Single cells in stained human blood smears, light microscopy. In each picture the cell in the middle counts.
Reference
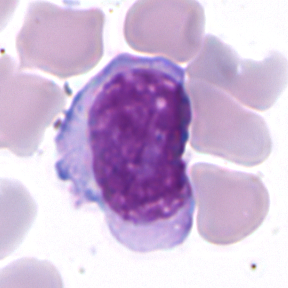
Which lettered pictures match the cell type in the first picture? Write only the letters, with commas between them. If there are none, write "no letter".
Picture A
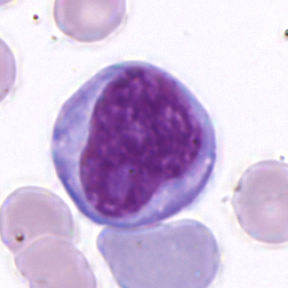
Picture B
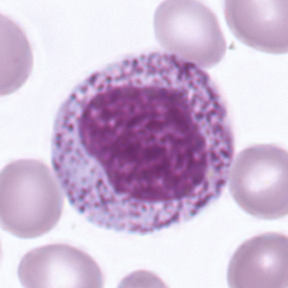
A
